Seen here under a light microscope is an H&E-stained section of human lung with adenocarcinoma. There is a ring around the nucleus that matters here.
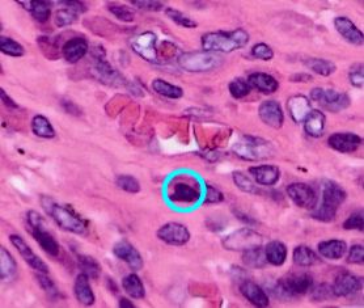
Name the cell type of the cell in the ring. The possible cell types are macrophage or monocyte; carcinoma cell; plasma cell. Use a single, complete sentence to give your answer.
By cell type, the cell in the ring is a plasma cell.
